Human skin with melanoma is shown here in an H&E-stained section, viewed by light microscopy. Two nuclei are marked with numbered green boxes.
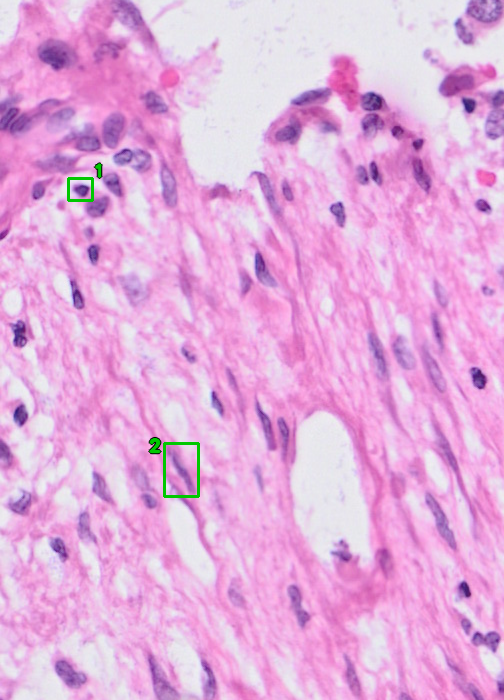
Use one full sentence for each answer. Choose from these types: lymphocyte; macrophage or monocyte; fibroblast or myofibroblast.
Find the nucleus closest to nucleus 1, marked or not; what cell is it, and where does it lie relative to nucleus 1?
It is a macrophage or monocyte, whose nucleus lies below and to the right of nucleus 1.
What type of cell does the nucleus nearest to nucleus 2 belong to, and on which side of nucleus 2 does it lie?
The nearest one is a fibroblast or myofibroblast, found below nucleus 2.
